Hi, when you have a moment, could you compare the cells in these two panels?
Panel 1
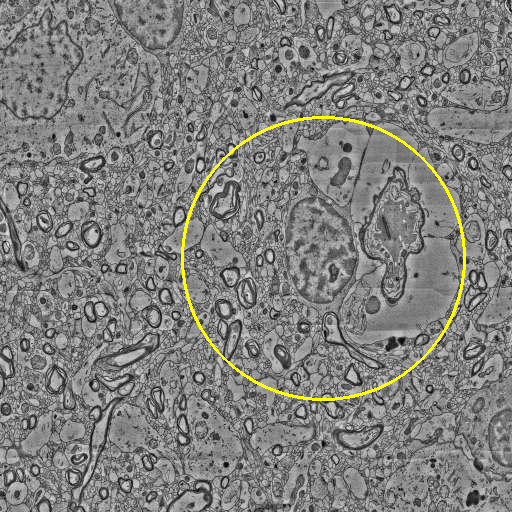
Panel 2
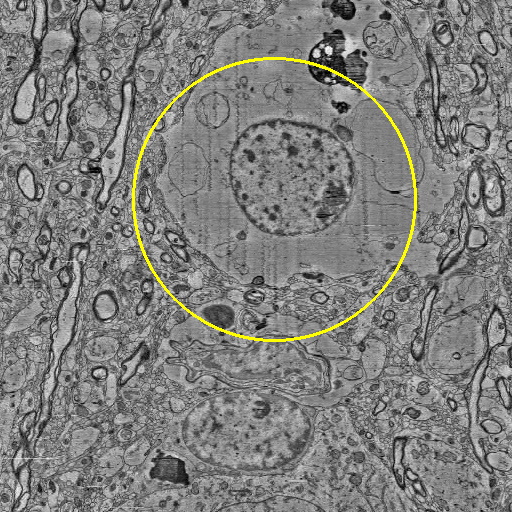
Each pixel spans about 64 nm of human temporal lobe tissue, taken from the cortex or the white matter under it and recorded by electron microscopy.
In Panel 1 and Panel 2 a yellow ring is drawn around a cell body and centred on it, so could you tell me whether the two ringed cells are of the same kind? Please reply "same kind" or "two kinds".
two kinds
